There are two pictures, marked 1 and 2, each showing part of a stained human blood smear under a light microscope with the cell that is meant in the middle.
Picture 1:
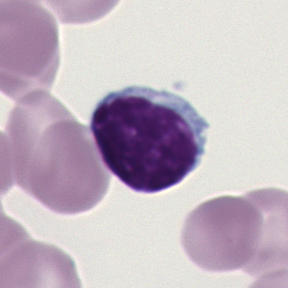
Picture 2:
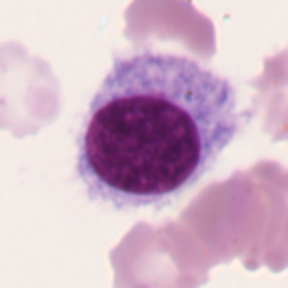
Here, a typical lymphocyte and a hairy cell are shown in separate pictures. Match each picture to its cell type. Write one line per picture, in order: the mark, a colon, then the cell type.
1: typical lymphocyte
2: hairy cell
